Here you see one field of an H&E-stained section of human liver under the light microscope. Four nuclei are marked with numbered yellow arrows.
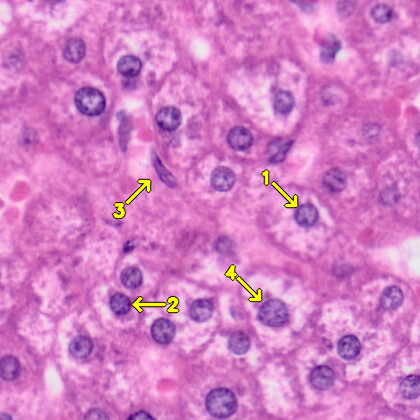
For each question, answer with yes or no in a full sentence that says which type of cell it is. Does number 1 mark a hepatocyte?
Yes, the cell whose nucleus carries number 1 is a hepatocyte.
